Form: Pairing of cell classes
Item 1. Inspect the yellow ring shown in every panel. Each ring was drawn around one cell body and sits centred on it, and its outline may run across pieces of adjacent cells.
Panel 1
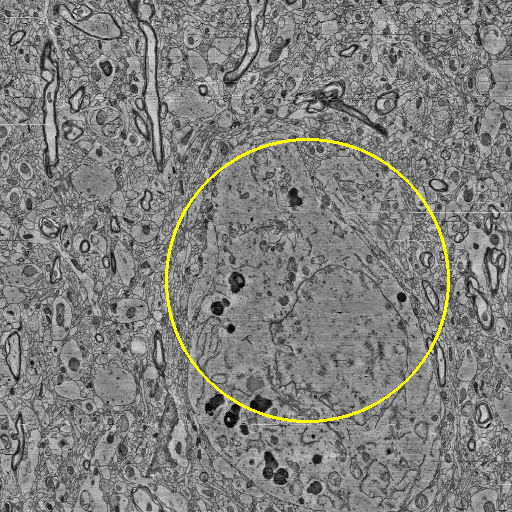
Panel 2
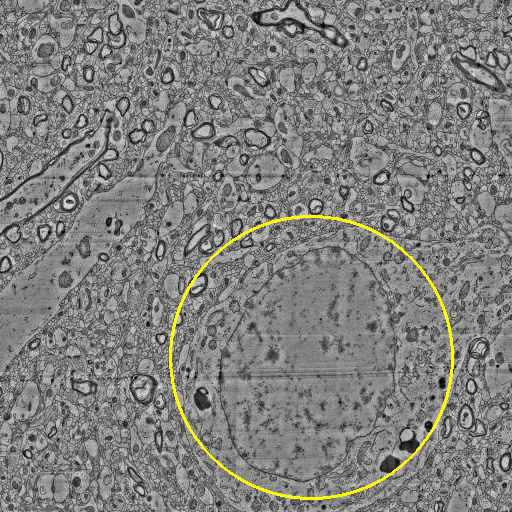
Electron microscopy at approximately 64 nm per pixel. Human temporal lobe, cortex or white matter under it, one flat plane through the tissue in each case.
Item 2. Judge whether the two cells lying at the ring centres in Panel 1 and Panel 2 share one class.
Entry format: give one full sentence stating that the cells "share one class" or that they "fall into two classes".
The cells at the ring centres in Panel 1 and Panel 2 share one class.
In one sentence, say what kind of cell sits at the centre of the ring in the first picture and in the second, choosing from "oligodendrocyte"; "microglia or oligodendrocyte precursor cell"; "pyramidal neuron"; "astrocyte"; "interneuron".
Both the first and the second picture show a pyramidal neuron in the ring.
